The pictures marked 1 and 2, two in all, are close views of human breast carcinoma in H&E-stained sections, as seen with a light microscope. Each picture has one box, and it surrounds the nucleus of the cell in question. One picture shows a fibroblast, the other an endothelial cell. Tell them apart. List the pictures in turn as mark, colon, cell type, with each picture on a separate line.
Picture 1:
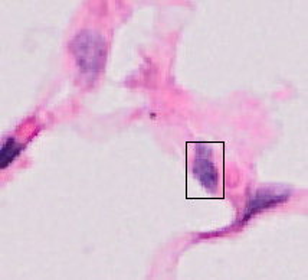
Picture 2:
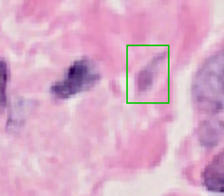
1: endothelial cell
2: fibroblast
